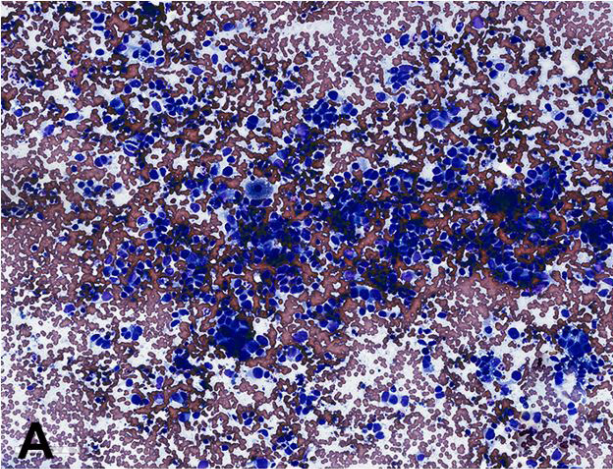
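Hypercellular smear of pleomorphic tumor cells lying in loose clusters and singly over a dense background of red blood cells. Clusters are crowded and overlapping in the centre of the field, with dispersed single cells at the edges. Occasional larger cells stand out among them. The red cells form a pink-brown packed layer between the tumor cell groups.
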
